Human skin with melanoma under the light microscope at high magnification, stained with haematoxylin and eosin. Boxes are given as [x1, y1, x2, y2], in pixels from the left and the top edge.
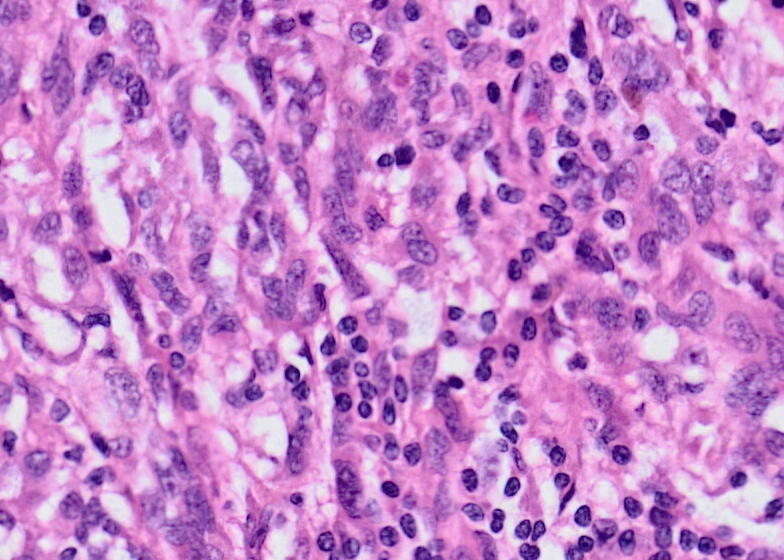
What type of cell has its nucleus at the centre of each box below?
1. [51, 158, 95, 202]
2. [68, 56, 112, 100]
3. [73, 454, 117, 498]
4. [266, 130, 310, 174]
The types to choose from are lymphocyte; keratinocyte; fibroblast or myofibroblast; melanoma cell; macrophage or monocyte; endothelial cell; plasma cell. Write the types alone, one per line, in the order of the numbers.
melanoma cell
melanoma cell
lymphocyte
melanoma cell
